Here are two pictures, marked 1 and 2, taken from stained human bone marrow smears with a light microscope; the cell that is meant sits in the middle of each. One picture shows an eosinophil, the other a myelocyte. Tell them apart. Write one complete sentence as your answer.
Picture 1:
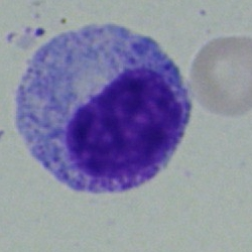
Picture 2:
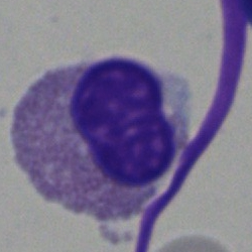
Picture 1 is of a myelocyte, and picture 2 is of an eosinophil.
